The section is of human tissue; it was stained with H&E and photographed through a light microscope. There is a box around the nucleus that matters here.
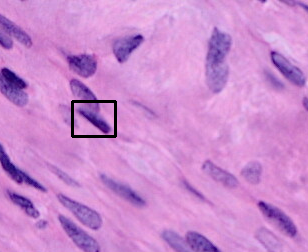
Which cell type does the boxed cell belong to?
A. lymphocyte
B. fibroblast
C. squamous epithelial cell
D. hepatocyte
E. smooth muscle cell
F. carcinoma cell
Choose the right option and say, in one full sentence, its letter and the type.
In the section, the boxed cell is a fibroblast, and option B is correct accordingly.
